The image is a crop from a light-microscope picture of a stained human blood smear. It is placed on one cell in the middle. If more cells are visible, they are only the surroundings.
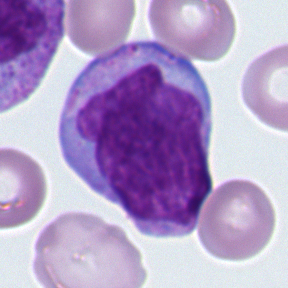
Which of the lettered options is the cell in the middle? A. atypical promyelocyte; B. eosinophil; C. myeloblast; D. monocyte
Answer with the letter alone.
A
